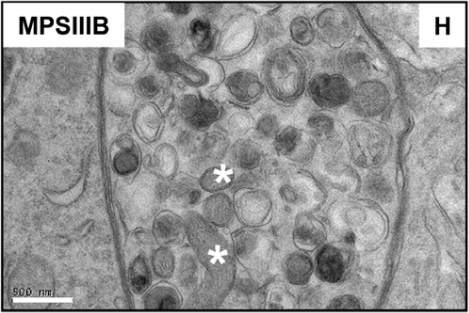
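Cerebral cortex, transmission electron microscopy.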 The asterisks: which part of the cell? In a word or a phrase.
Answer: Mitochondria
